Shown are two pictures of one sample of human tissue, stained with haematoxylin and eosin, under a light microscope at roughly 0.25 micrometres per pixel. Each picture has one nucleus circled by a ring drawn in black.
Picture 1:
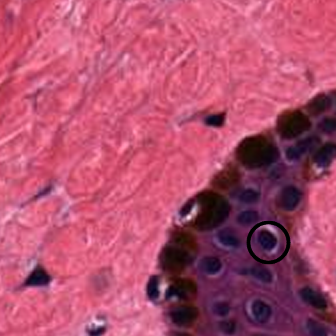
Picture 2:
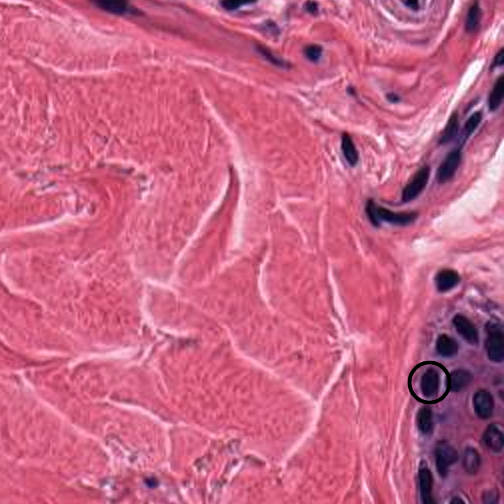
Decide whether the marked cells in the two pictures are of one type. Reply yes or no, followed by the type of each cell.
Yes, both are keratinocytes.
